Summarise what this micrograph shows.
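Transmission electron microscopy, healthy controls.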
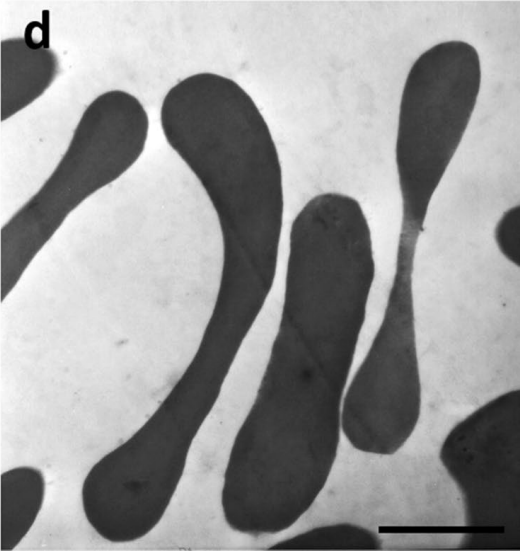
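Here, too, we see sections of red blood cells, dark and uniform on a light background. Several profiles lie close together: some are long and gently curved with rounded ends, and one on the right is thin in its middle and widened at both ends. Each cell is filled with the same even, dense content, without a nucleus or any organelles. The outlines are smooth and continuous all around. No vesicles are visible inside the cells.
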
